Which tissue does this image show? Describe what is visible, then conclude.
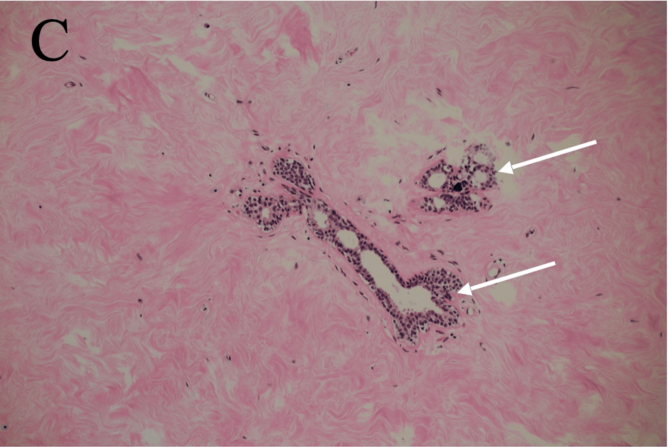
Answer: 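Fibrous component. Most of the field is wavy pink collagen bundles. Few scattered spindle nuclei in the stroma.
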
